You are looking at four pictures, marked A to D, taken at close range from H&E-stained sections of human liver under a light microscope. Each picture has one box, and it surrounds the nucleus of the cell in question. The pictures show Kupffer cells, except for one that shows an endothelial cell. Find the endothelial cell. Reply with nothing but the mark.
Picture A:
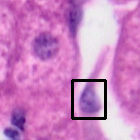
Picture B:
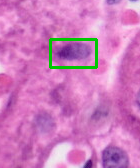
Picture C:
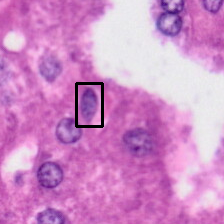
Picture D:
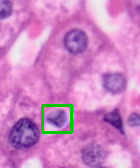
D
